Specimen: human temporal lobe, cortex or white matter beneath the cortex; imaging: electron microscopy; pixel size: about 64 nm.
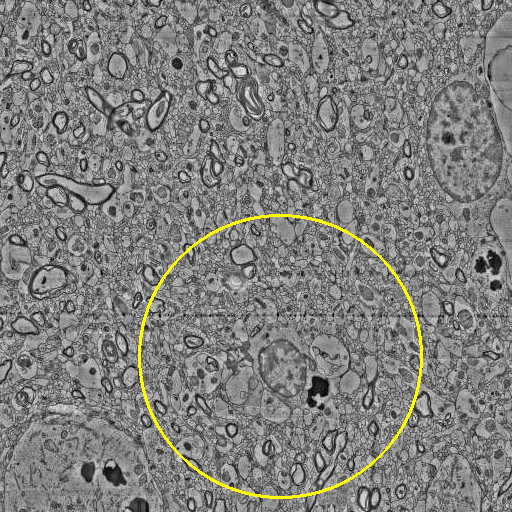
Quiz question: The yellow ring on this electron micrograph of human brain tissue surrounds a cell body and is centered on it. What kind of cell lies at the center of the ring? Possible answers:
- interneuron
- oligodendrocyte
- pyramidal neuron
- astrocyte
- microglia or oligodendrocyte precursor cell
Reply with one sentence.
The ring's center lies on an oligodendrocyte.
